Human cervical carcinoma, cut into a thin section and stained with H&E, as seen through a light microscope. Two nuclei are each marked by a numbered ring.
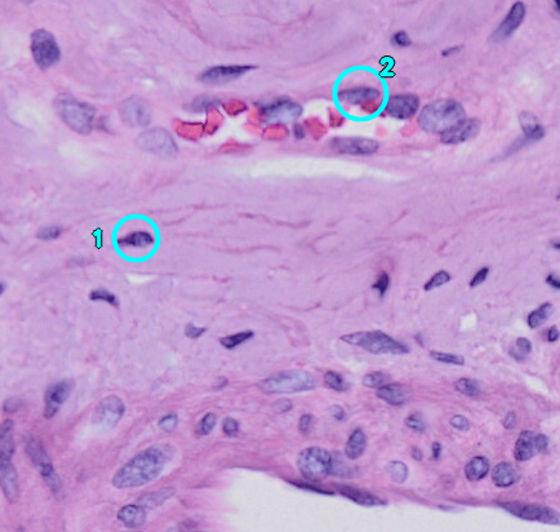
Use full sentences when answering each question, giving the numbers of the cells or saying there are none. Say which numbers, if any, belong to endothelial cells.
No marked cell except number 2 is an endothelial cell.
